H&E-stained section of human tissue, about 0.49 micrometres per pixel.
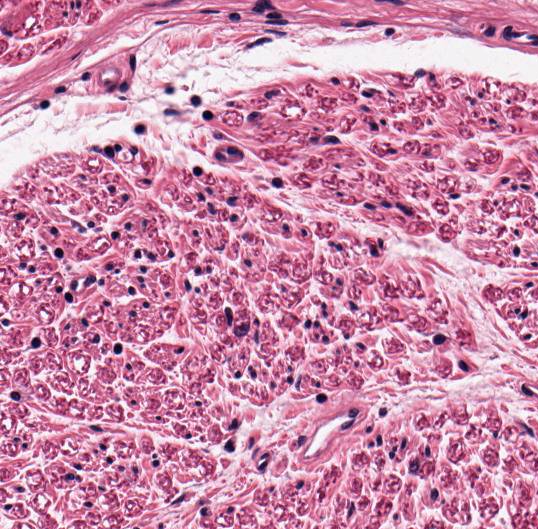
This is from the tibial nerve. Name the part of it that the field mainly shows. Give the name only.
nerve fascicle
